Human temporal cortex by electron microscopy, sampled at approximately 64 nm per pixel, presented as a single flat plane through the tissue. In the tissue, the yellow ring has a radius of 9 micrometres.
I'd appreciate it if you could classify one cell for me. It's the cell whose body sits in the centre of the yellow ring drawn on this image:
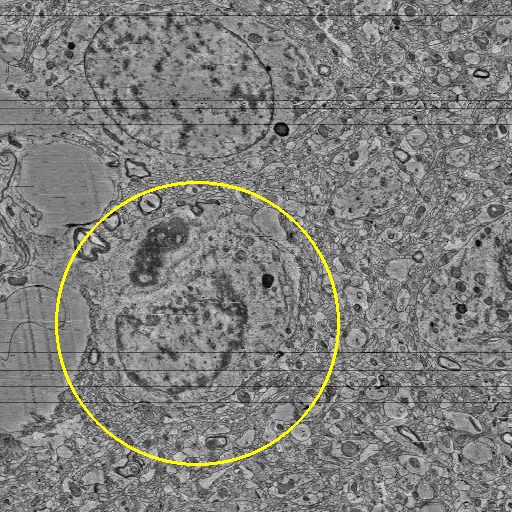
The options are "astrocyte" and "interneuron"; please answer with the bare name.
interneuron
